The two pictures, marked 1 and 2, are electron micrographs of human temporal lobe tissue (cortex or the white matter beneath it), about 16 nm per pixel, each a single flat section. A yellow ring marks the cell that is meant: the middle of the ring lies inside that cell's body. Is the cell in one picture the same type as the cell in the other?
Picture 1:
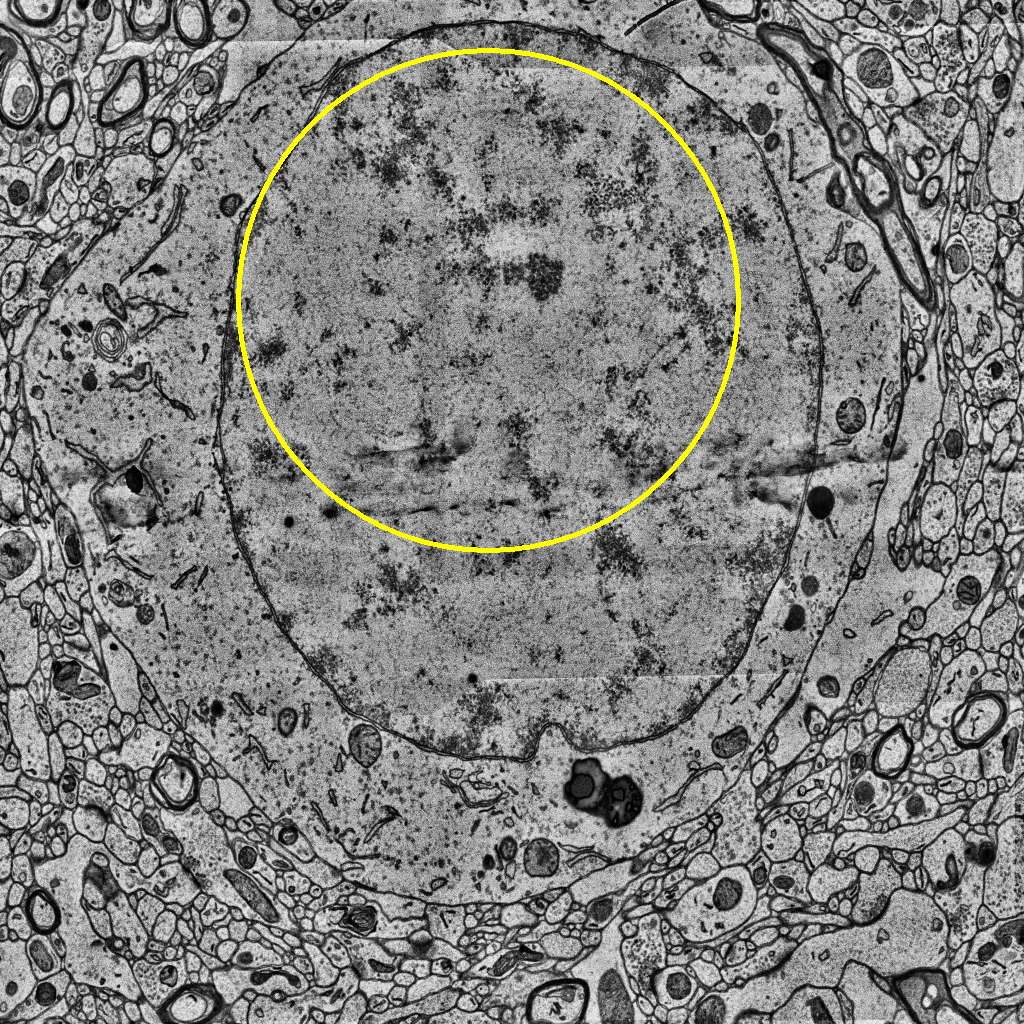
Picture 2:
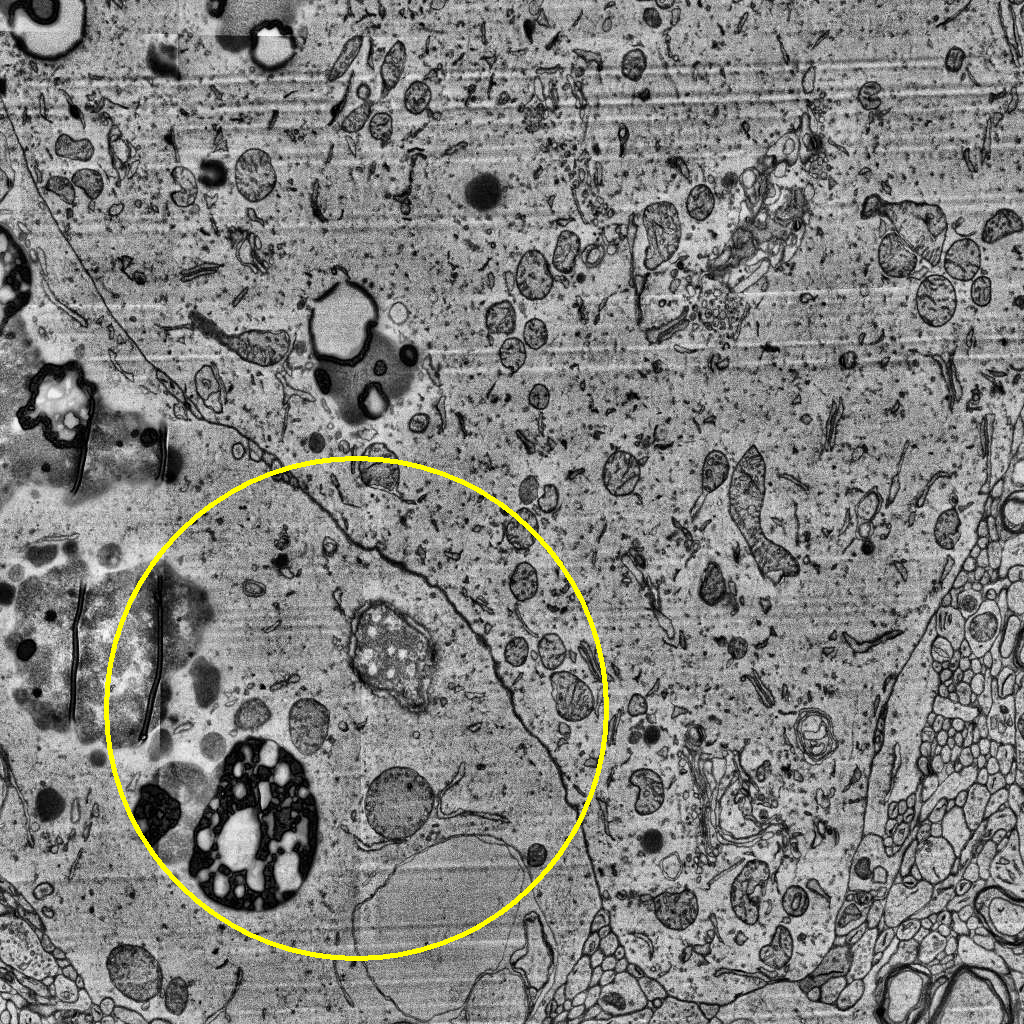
No, the types are not the same, since picture 1 shows a pyramidal neuron and picture 2 an astrocyte.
